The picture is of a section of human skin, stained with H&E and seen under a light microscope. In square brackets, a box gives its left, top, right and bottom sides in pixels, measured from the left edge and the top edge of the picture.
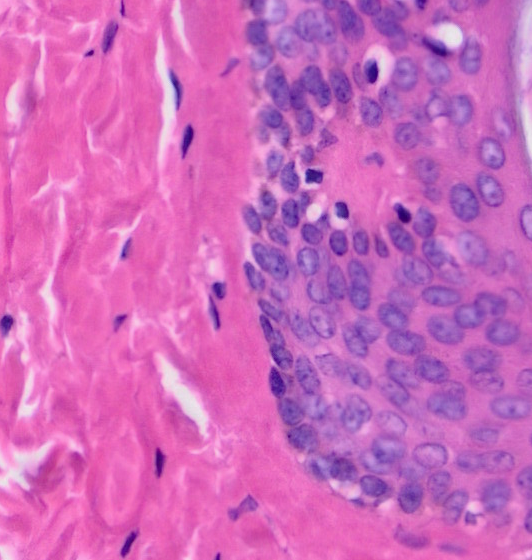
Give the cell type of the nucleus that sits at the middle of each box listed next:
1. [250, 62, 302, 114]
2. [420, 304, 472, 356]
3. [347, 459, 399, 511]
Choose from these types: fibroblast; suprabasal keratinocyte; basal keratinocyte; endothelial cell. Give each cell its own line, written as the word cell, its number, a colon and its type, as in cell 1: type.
cell 1: basal keratinocyte
cell 2: suprabasal keratinocyte
cell 3: basal keratinocyte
